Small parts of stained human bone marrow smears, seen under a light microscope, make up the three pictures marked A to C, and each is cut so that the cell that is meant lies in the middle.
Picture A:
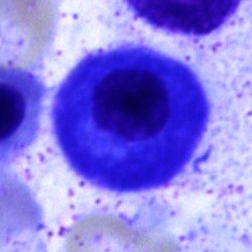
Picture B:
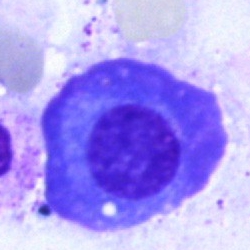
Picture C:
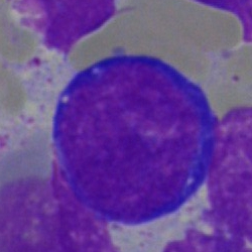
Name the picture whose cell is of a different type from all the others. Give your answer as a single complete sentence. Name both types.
All pictures except C show plasma cells; picture C shows a proerythroblast.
